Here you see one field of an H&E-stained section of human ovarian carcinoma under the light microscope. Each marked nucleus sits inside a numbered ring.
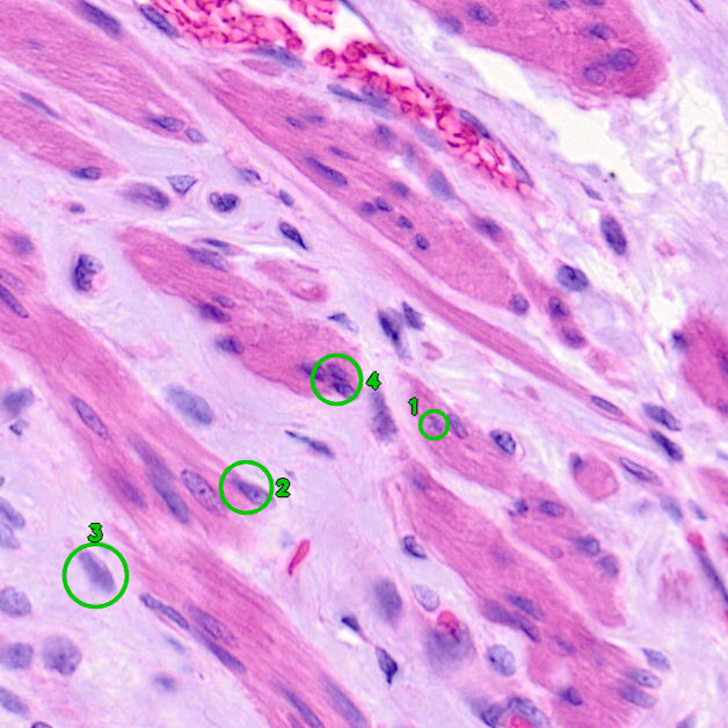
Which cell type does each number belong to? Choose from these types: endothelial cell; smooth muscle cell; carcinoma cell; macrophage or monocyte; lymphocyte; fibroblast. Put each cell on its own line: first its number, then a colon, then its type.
1: smooth muscle cell
2: smooth muscle cell
3: fibroblast
4: smooth muscle cell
